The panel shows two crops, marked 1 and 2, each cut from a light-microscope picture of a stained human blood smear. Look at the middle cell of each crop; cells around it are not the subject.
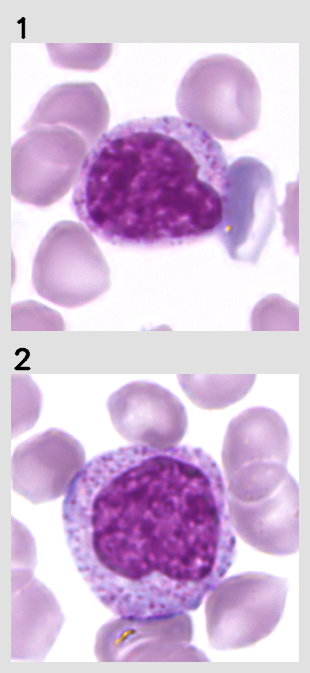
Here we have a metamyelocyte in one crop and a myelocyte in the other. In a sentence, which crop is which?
Among the crops, crop 1 is a metamyelocyte and crop 2 is a myelocyte.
